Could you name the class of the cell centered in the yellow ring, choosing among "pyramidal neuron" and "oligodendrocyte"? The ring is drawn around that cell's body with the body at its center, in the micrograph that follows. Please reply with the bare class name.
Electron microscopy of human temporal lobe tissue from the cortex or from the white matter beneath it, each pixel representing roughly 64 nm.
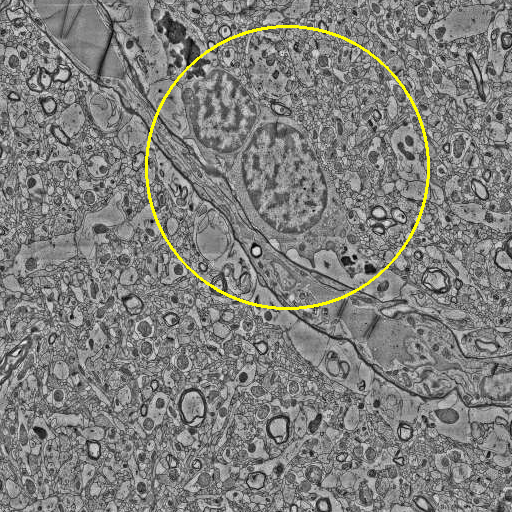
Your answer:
oligodendrocyte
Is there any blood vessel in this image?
Yes, a vessel shows somewhere in the image.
